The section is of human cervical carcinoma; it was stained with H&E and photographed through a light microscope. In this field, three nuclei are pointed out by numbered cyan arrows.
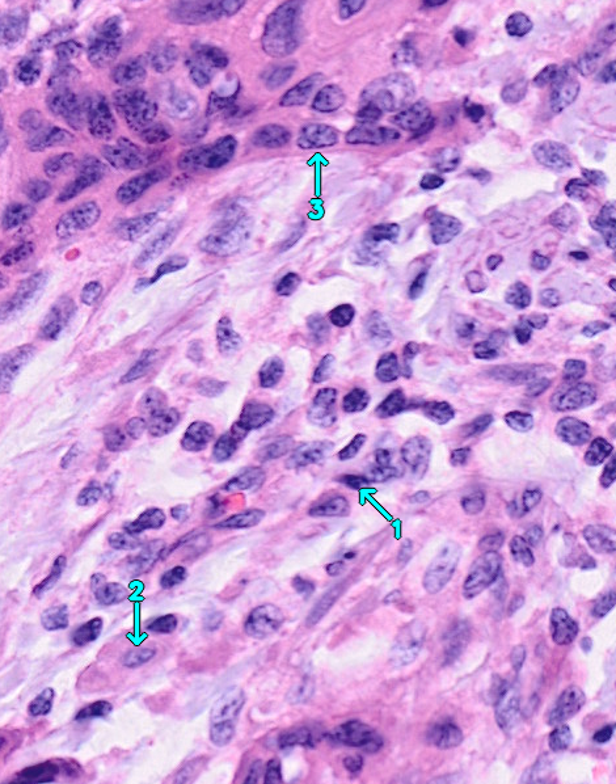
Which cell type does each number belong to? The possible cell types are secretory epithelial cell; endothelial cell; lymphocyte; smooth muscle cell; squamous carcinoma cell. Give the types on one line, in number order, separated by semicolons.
lymphocyte; endothelial cell; squamous carcinoma cell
